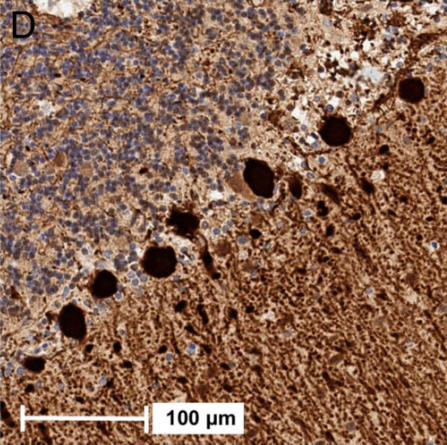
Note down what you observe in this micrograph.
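Cerebellar cortex at high magnification, with Purkinje cells and surrounding neuropil. A row of large, rounded Purkinje cell bodies is stained intensely dark brown, nearly black. On one side lies the molecular layer, filled with a dense brown, finely fibrillary and granular neuropil in which processes run toward the surface.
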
